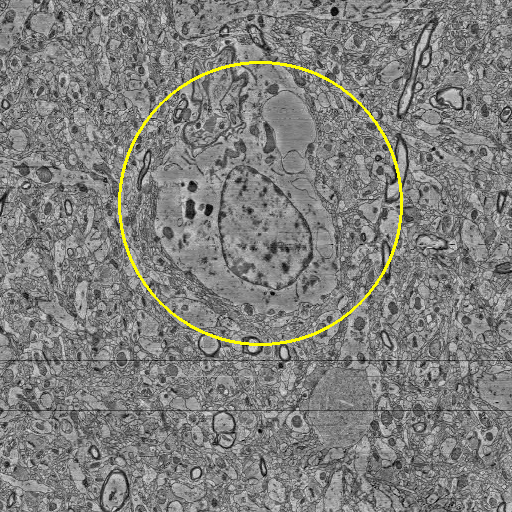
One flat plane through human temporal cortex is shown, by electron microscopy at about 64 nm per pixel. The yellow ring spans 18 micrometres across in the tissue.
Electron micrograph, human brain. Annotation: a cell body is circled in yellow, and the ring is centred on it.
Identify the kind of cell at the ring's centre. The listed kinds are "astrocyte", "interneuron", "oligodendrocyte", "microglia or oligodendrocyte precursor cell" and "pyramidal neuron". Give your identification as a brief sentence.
The circled cell body is that of an astrocyte.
